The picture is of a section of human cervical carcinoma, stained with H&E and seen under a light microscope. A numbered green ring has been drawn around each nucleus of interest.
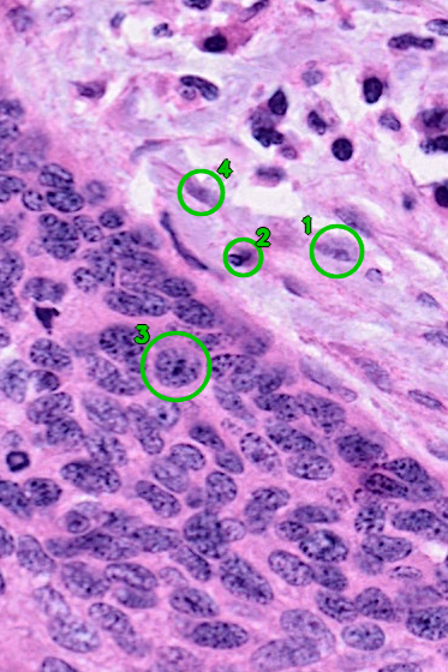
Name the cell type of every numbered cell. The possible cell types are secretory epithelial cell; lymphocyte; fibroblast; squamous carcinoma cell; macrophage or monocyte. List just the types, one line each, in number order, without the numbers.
fibroblast
lymphocyte
squamous carcinoma cell
fibroblast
